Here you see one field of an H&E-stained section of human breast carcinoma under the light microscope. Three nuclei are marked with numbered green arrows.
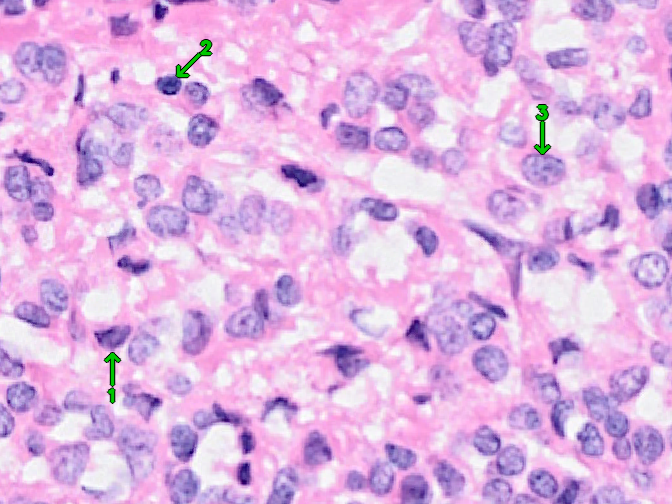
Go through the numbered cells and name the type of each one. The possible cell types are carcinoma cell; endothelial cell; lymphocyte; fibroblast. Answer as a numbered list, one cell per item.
1. carcinoma cell
2. lymphocyte
3. carcinoma cell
